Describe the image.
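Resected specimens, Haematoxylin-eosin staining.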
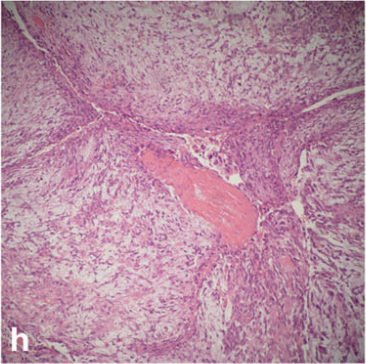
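This is a low-power view of a tumour made of loosely scattered spindle and star-shaped cells with purple nuclei, set in a pale, wispy, watery-looking background. Thin pink fibrous bands cross the field and split the tissue into rounded lobules. In the middle, one of these bands carries a blood vessel packed with pink red blood cells. Cells seem a little more crowded along the edges of the bands and thin out toward the centres of the lobules, where the pale background takes up most of the space.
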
